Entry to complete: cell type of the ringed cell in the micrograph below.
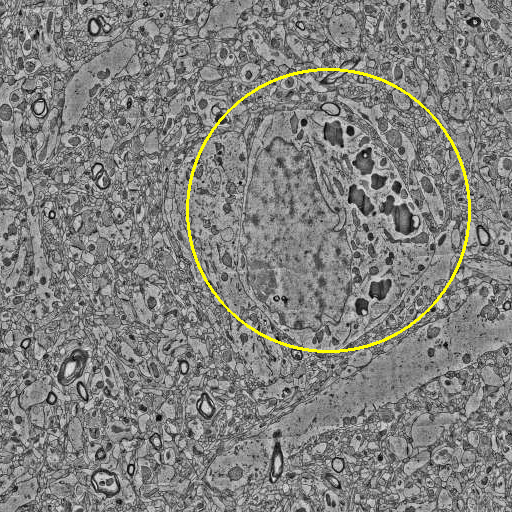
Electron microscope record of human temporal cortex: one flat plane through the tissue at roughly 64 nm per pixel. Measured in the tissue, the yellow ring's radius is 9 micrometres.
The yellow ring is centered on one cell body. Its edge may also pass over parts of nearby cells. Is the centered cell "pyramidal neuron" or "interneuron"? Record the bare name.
interneuron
